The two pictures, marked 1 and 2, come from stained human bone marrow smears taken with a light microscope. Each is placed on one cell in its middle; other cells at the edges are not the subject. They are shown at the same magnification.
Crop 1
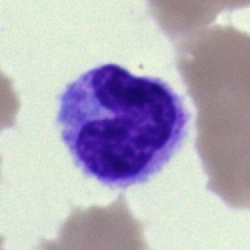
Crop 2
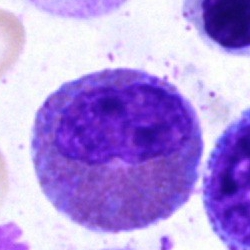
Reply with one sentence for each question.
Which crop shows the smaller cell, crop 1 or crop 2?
Smaller is the cell in crop 1, and the other is about 2 times as large in area.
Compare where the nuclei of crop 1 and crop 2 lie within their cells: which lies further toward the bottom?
In crop 1 the nucleus is shifted more toward the bottom.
